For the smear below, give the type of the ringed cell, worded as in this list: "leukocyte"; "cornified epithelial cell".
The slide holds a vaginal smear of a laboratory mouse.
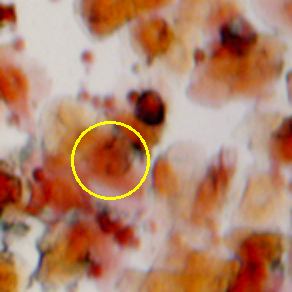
cornified epithelial cell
